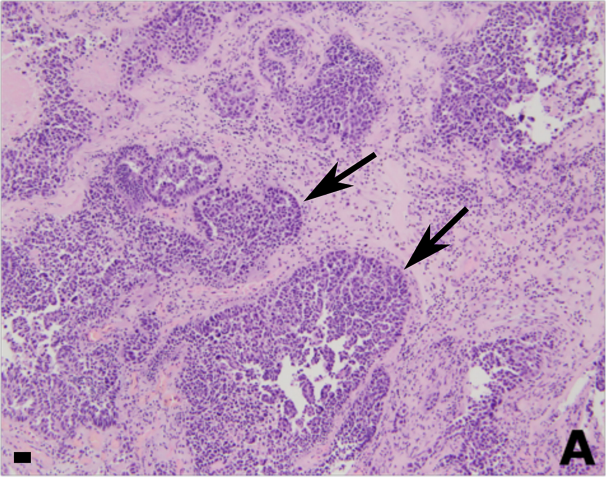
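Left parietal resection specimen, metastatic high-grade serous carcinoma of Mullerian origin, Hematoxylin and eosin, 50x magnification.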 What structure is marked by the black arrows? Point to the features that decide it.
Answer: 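The arrows point to the rounded edges of large, densely cellular purple islands.
Nests of epithelioid tumor cells.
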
